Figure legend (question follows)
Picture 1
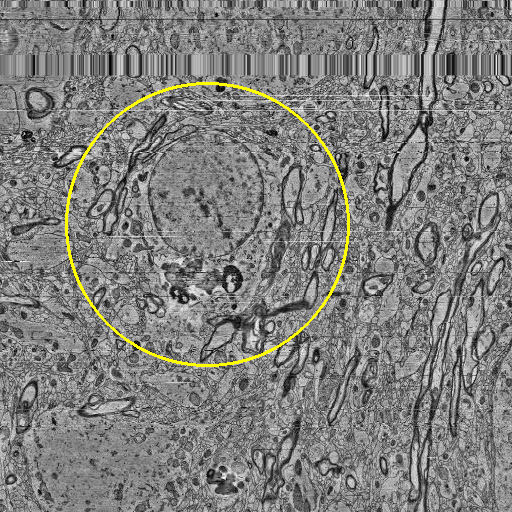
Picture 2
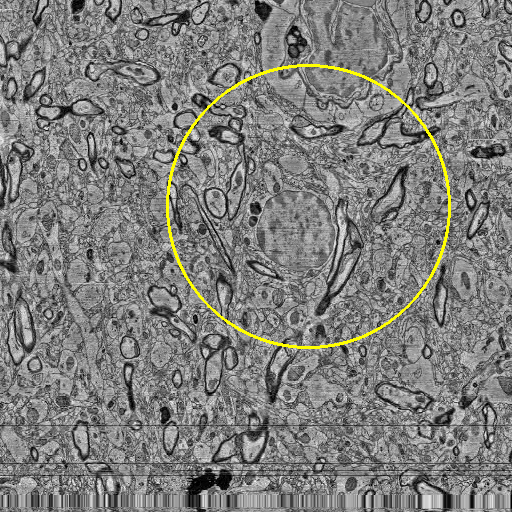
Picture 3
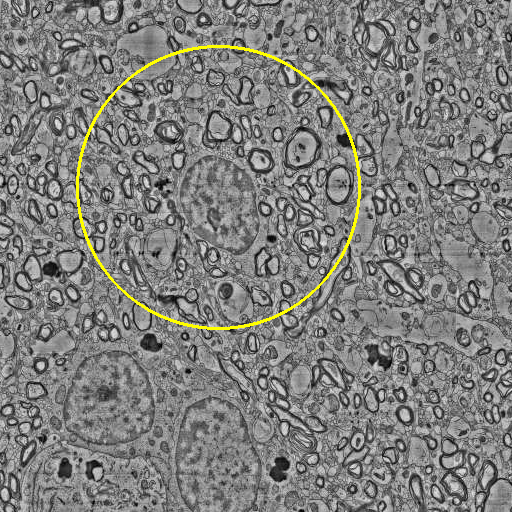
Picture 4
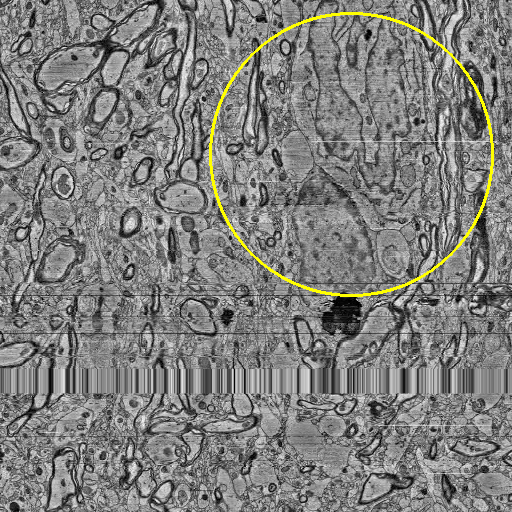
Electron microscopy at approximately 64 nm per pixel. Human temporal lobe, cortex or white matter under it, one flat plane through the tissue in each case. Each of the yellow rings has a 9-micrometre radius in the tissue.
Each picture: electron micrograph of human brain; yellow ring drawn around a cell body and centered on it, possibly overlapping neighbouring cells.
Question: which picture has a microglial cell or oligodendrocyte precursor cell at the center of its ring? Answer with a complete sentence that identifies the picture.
Picture 2 has it at the center of its ring.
